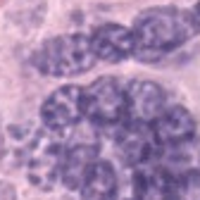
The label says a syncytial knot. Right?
Right.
